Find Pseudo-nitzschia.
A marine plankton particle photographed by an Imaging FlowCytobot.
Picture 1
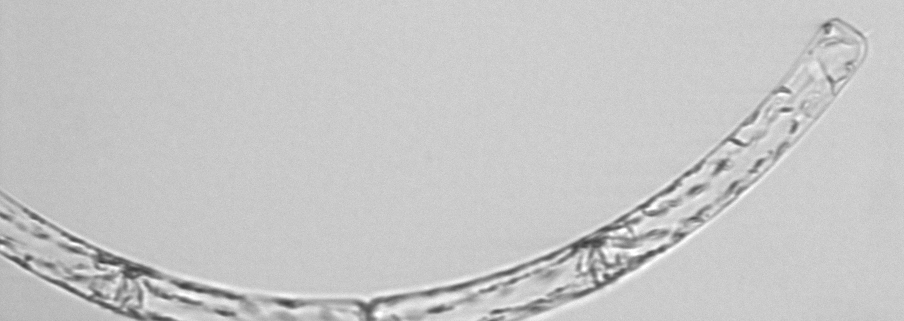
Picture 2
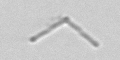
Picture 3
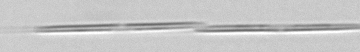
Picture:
3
